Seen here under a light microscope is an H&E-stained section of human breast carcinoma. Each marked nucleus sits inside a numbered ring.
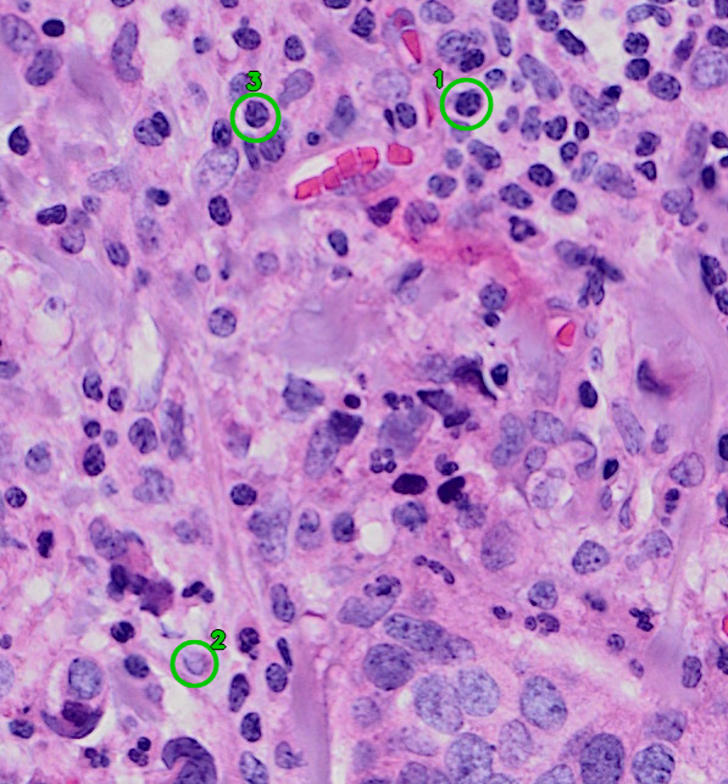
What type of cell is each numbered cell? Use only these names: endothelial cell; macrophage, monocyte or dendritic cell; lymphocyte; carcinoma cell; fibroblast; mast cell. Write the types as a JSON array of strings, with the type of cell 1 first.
["lymphocyte", "macrophage, monocyte or dendritic cell", "lymphocyte"]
